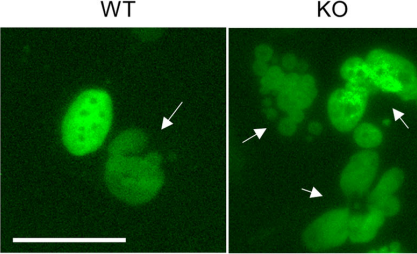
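In the right image most cells hold clusters of several nuclei of unequal size. Some of these are large and lobed, and others are small round bodies lying close beside them.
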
